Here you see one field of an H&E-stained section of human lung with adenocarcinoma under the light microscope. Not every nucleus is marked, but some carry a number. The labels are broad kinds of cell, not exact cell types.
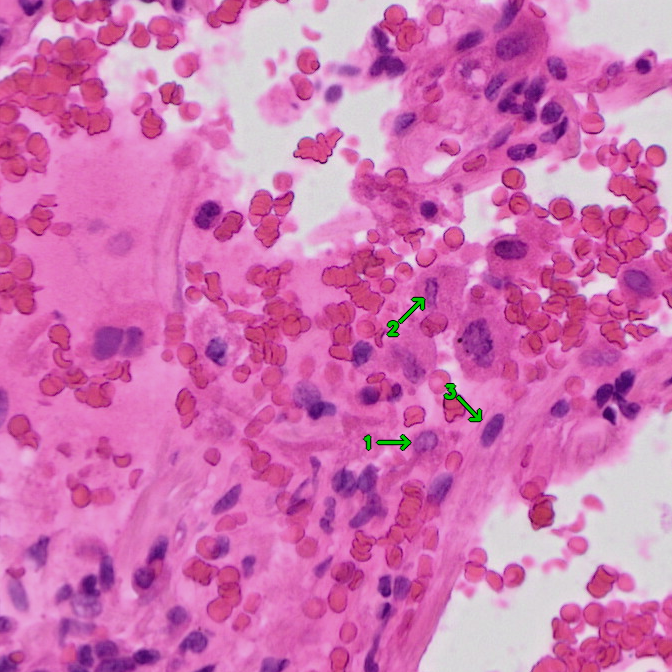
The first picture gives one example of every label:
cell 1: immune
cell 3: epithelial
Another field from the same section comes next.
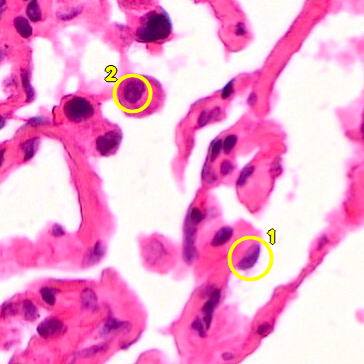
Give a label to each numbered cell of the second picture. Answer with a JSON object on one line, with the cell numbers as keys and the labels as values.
{"1": "epithelial", "2": "immune"}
